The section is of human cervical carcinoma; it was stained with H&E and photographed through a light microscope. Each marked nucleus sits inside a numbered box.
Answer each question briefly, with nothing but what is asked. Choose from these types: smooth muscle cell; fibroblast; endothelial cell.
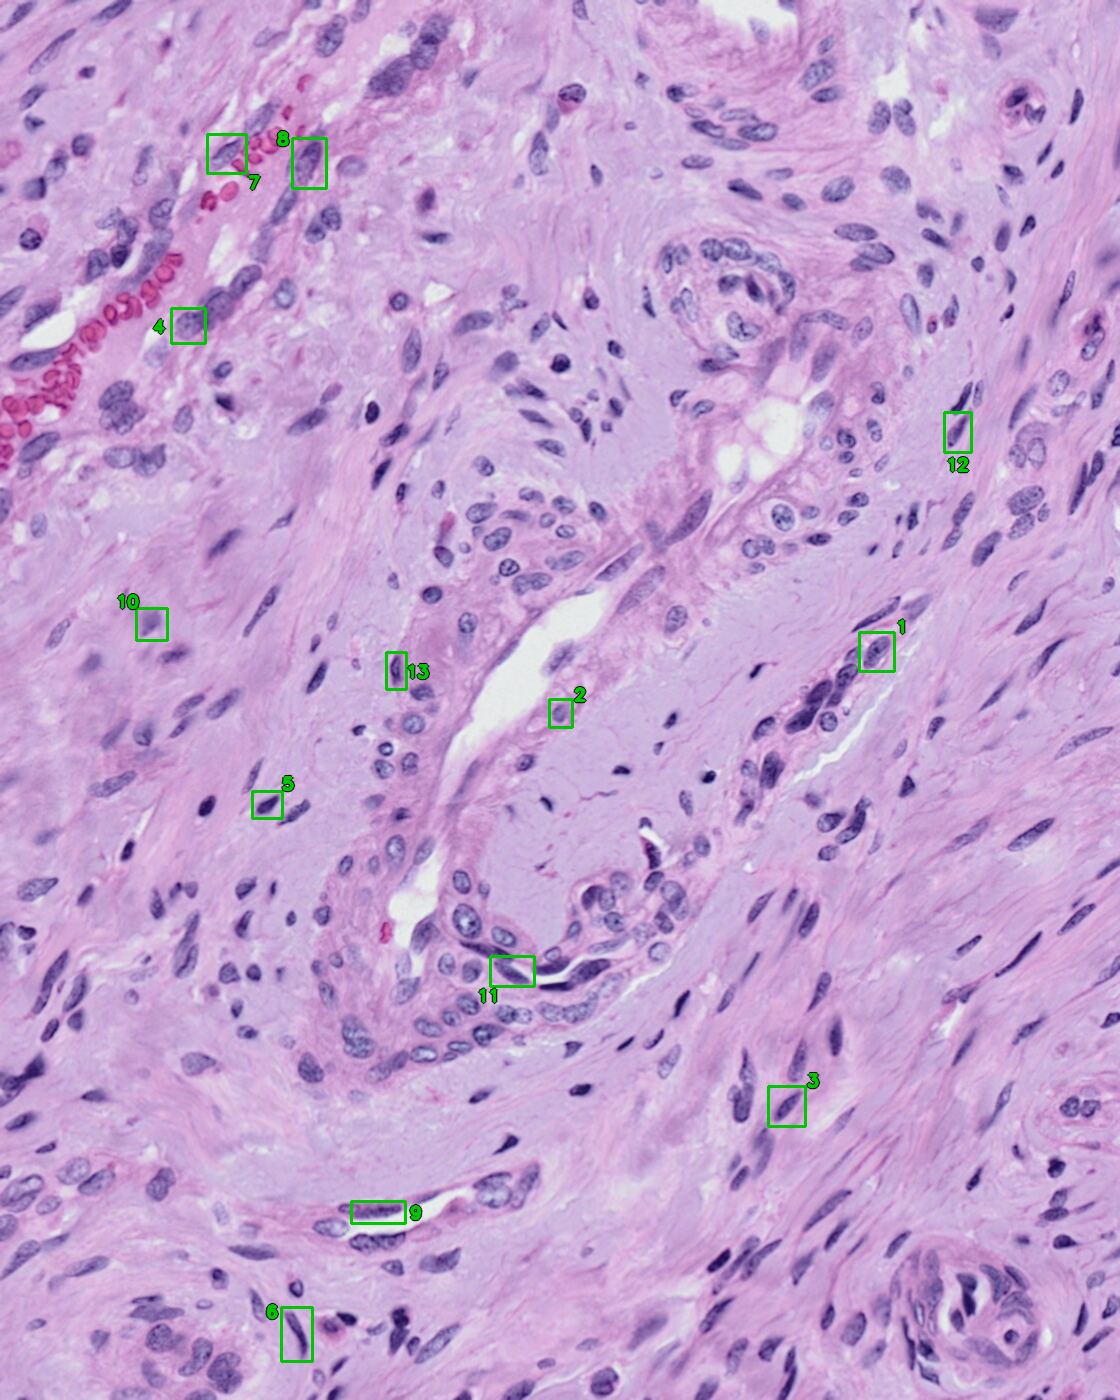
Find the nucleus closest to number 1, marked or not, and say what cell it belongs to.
endothelial cell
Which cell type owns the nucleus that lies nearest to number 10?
smooth muscle cell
